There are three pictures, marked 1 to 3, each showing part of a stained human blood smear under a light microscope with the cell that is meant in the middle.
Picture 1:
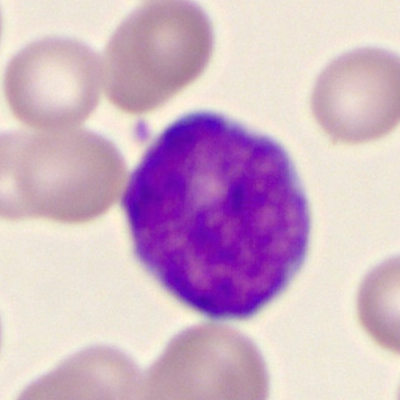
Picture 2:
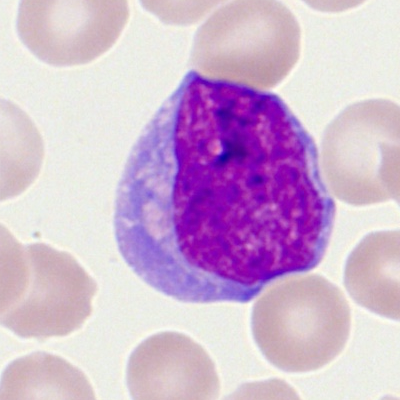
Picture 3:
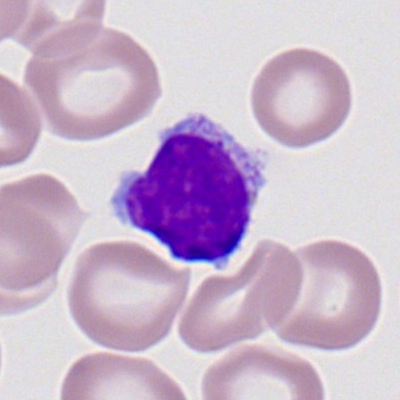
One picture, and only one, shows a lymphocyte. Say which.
3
